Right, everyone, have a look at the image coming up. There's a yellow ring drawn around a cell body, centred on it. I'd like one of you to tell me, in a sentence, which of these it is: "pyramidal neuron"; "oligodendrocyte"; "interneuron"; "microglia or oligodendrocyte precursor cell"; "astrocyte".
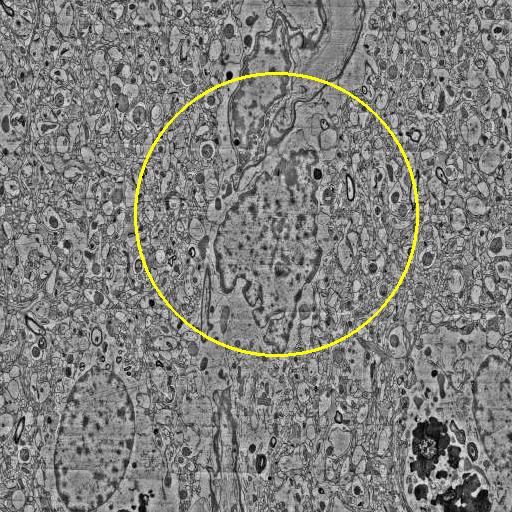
The yellow ring sits on a microglial cell or oligodendrocyte precursor cell.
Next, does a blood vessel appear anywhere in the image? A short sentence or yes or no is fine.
Yes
